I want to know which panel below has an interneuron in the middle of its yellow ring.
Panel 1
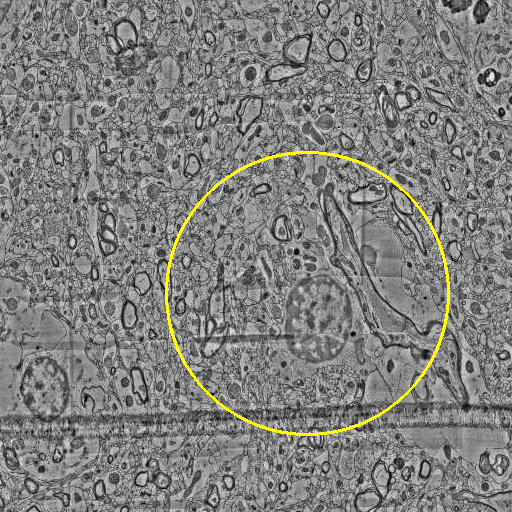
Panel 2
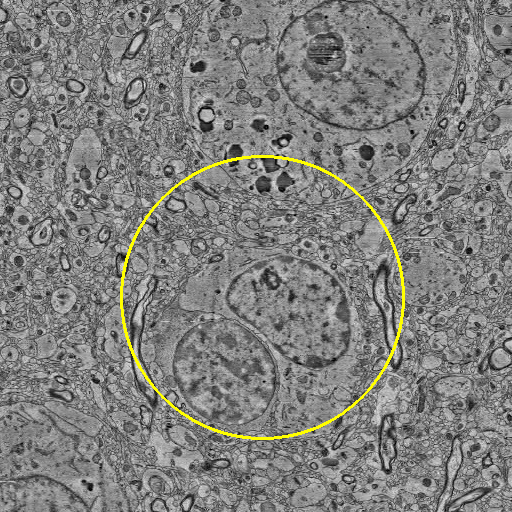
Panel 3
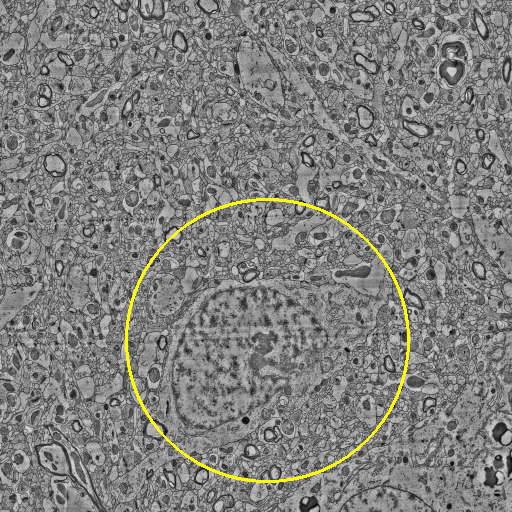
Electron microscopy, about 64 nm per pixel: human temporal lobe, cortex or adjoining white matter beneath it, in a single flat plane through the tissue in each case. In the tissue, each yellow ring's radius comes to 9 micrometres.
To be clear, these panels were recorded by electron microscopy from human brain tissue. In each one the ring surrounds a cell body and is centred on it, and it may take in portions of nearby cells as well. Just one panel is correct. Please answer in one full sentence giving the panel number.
Panel 3 has the requested cell sitting at the centre of its ring.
